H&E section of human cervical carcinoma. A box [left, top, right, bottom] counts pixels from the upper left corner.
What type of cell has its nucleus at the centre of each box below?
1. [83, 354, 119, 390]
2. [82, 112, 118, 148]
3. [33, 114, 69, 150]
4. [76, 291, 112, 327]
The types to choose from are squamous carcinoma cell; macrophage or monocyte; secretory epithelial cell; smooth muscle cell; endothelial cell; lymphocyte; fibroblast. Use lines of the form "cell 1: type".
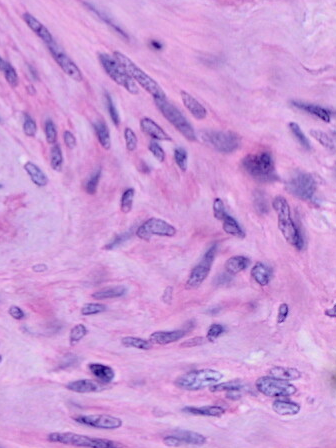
cell 1: lymphocyte
cell 2: smooth muscle cell
cell 3: smooth muscle cell
cell 4: smooth muscle cell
